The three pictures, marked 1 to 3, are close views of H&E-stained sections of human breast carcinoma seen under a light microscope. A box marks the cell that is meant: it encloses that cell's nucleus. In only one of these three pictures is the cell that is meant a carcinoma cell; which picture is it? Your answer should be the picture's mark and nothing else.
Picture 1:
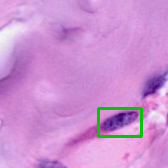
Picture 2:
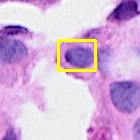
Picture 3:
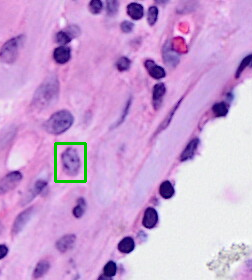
2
